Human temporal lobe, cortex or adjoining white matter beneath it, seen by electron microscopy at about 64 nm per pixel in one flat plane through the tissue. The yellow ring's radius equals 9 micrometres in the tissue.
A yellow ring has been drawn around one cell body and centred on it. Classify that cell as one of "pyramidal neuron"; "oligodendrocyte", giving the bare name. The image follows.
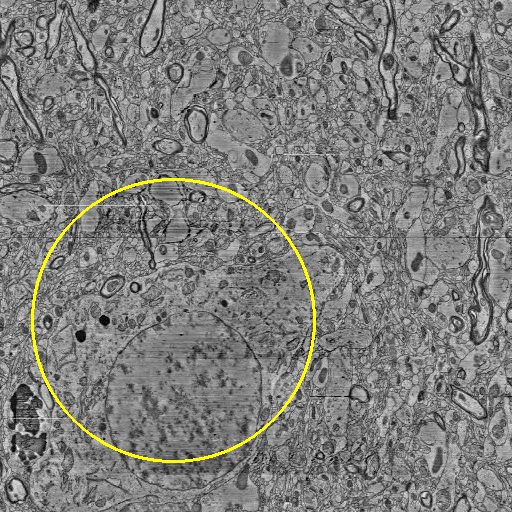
pyramidal neuron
